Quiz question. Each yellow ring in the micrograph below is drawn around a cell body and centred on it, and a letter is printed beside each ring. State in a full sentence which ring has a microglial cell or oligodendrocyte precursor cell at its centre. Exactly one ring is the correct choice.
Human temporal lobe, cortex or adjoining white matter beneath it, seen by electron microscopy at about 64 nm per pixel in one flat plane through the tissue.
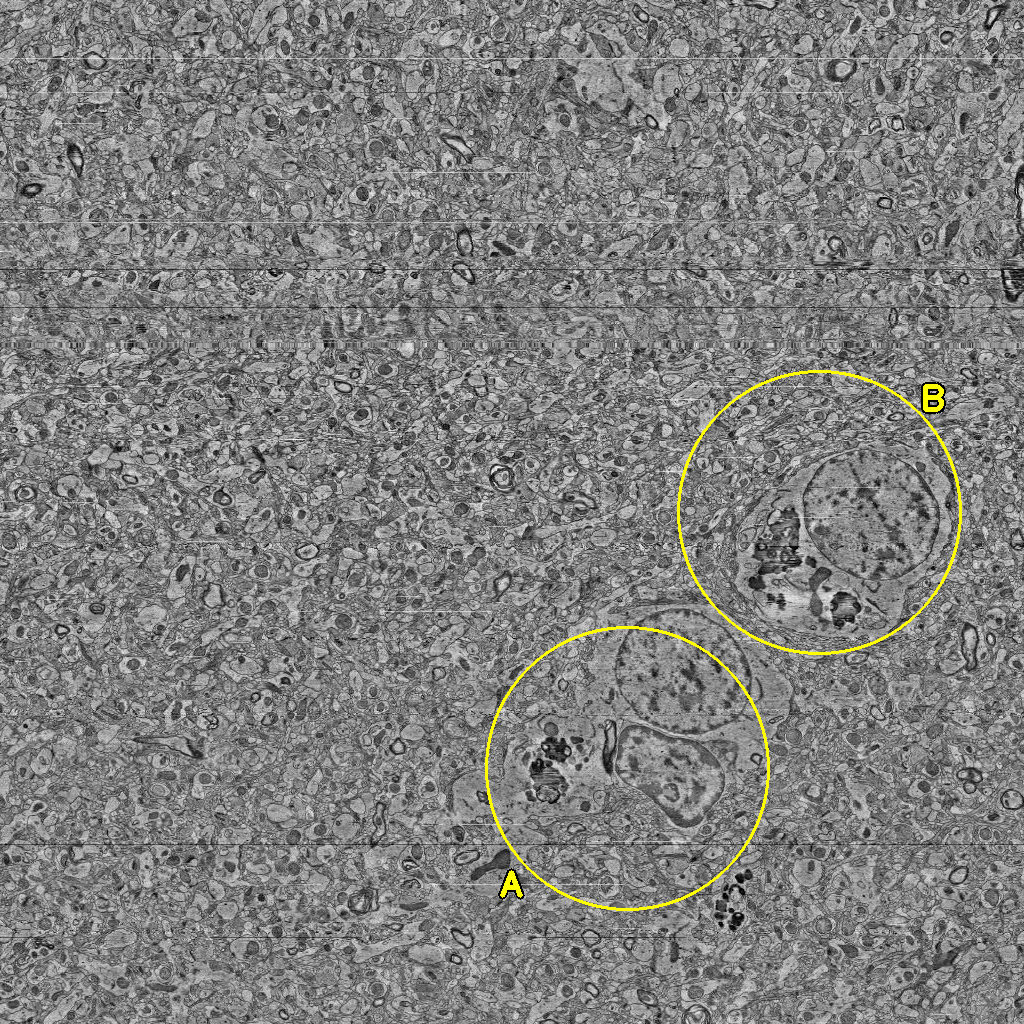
The correct ring is ring A.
